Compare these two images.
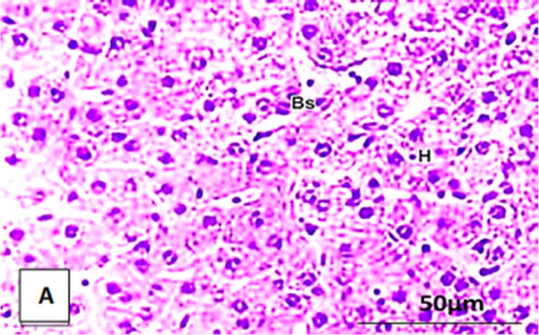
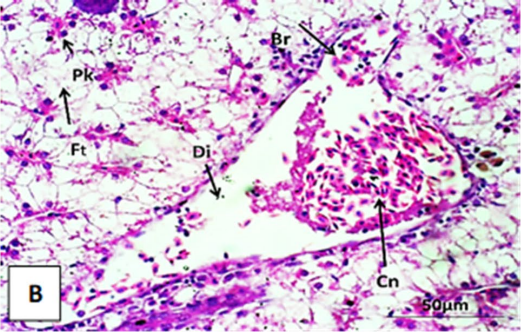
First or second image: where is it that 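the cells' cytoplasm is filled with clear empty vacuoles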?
The second image.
